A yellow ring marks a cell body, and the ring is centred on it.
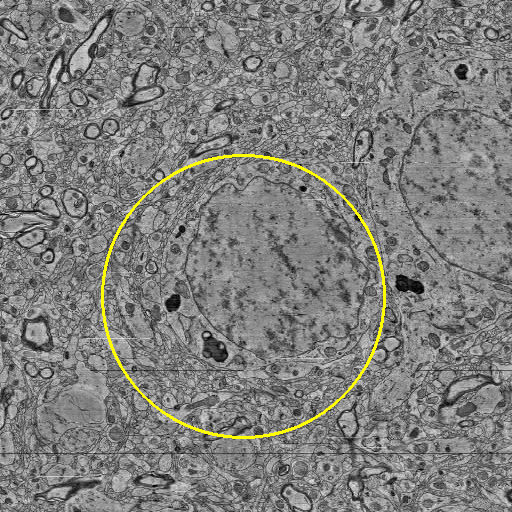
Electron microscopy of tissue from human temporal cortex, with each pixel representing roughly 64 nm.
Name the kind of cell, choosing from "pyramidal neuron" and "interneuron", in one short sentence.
The marked cell body belongs to a pyramidal neuron.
